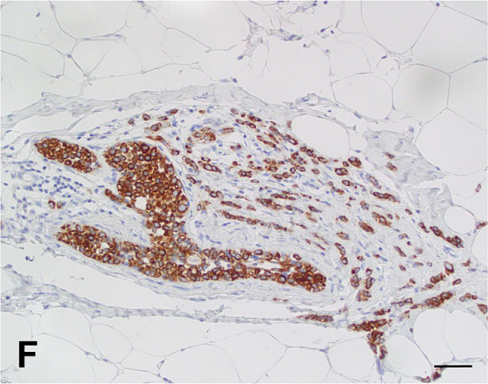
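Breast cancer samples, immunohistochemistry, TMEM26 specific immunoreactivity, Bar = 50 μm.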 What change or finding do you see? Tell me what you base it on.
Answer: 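Small tumor cells lie singly and in thin single-file strands within stroma. A solid nest of similar small cells lies beside the strands. Fat cells surround the area. The answer: invasive lobular carcinoma.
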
